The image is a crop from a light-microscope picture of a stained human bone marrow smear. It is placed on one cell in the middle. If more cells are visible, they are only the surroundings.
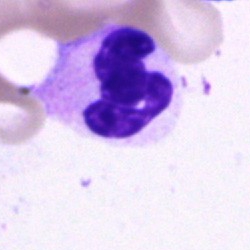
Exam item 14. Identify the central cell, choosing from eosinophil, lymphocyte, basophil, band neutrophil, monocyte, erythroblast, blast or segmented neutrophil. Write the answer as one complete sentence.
The middle cell in this particular crop is a segmented neutrophil.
